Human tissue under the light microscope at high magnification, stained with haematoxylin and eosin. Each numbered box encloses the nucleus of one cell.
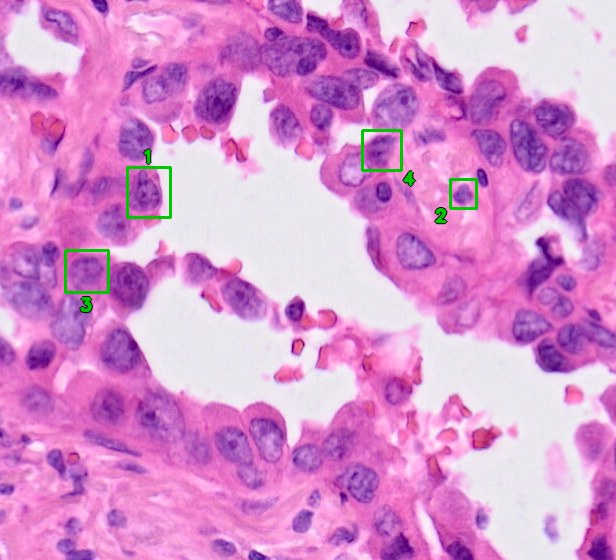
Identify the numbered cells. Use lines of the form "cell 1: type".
cell 1: carcinoma cell
cell 2: lymphocyte
cell 3: carcinoma cell
cell 4: carcinoma cell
